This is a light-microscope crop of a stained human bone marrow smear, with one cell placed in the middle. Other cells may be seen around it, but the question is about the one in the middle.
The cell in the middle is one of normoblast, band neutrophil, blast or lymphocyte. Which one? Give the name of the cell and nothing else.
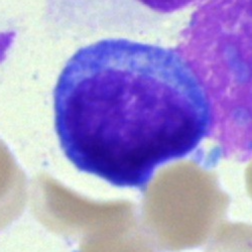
blast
